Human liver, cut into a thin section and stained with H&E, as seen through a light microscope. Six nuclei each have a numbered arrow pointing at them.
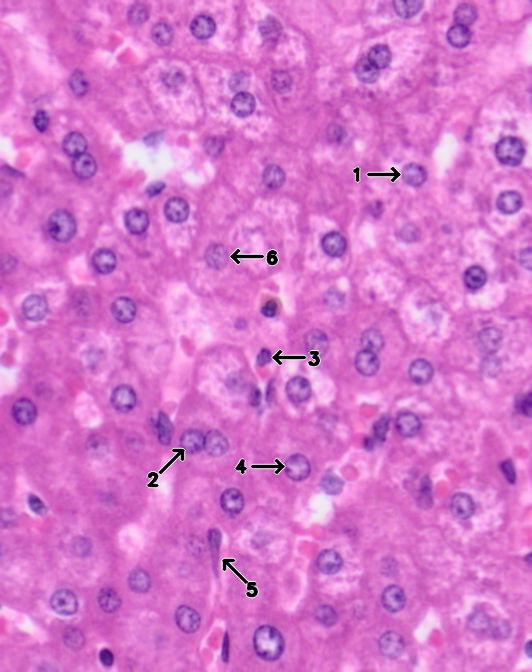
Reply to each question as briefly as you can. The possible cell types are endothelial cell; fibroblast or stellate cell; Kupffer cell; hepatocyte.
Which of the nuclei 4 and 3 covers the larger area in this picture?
4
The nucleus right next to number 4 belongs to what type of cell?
endothelial cell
